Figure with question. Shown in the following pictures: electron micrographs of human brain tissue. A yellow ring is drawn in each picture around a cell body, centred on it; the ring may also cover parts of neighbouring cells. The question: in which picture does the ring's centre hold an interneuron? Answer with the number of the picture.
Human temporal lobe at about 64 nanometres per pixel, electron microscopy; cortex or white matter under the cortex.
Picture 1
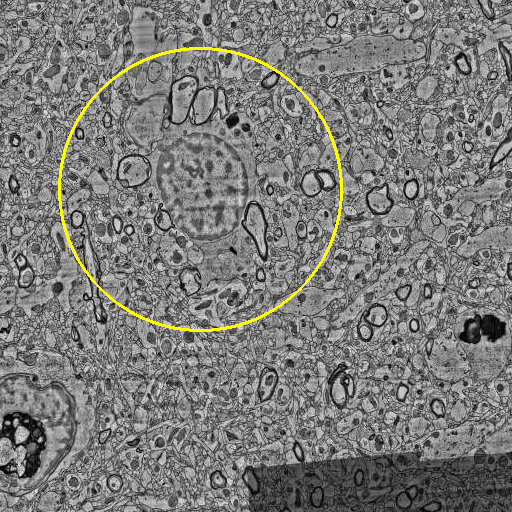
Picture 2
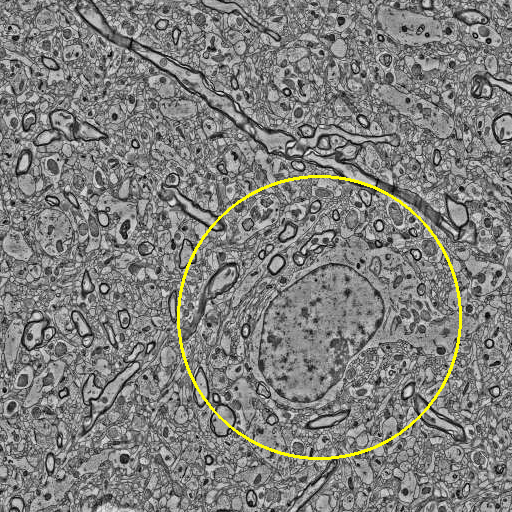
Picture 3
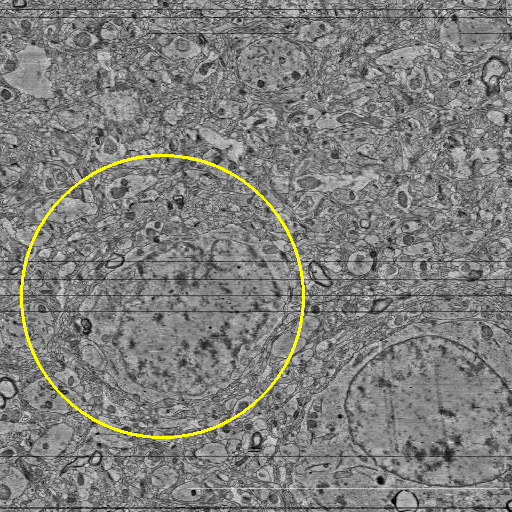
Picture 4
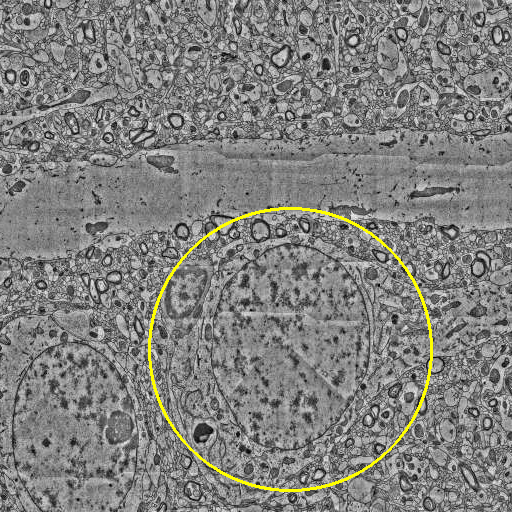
3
